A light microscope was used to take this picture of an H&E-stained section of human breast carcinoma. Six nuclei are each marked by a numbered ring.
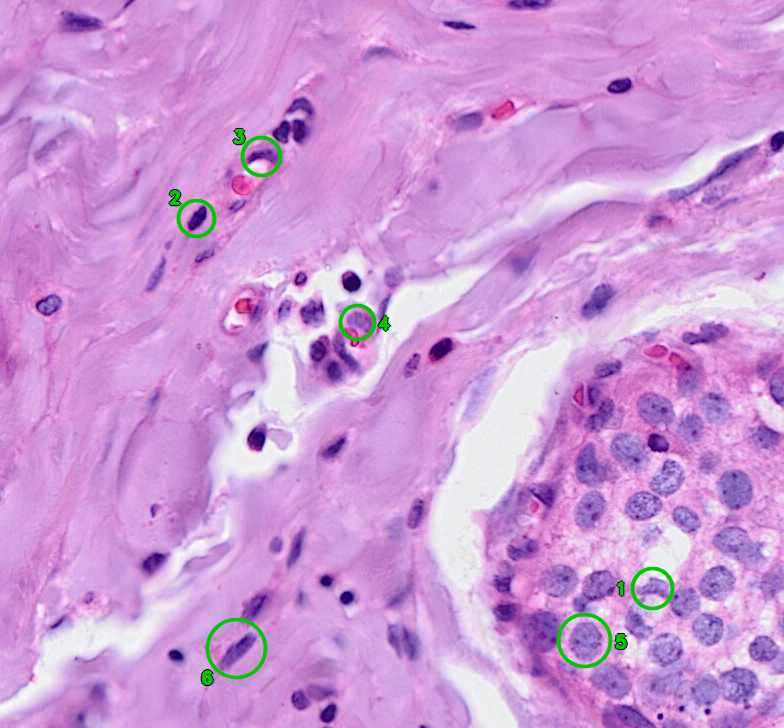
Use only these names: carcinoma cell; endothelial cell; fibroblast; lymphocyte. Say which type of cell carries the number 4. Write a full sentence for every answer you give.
The cell whose nucleus carries the number 4 is an endothelial cell.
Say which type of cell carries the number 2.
Nucleus 2 in this section belongs to a lymphocyte.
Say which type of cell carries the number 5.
The cell numbered 5 has been identified as a carcinoma cell.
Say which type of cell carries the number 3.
Number 3 among the marked cells is an endothelial cell.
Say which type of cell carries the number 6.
Belonging to a fibroblast is the nucleus that carries the number 6.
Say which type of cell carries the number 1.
The cell pointed out by number 1 is a carcinoma cell.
